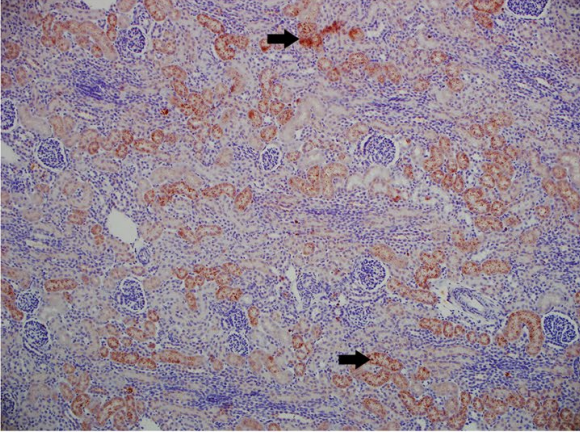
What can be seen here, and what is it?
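Renal cortex with many proximal tubules whose cytoplasm stains diffusely reddish brown, some with darker granular deposits. Round glomeruli with dense blue nuclei lie scattered between them. Brown staining is confined to tubular epithelium; glomeruli and interstitium remain blue.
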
